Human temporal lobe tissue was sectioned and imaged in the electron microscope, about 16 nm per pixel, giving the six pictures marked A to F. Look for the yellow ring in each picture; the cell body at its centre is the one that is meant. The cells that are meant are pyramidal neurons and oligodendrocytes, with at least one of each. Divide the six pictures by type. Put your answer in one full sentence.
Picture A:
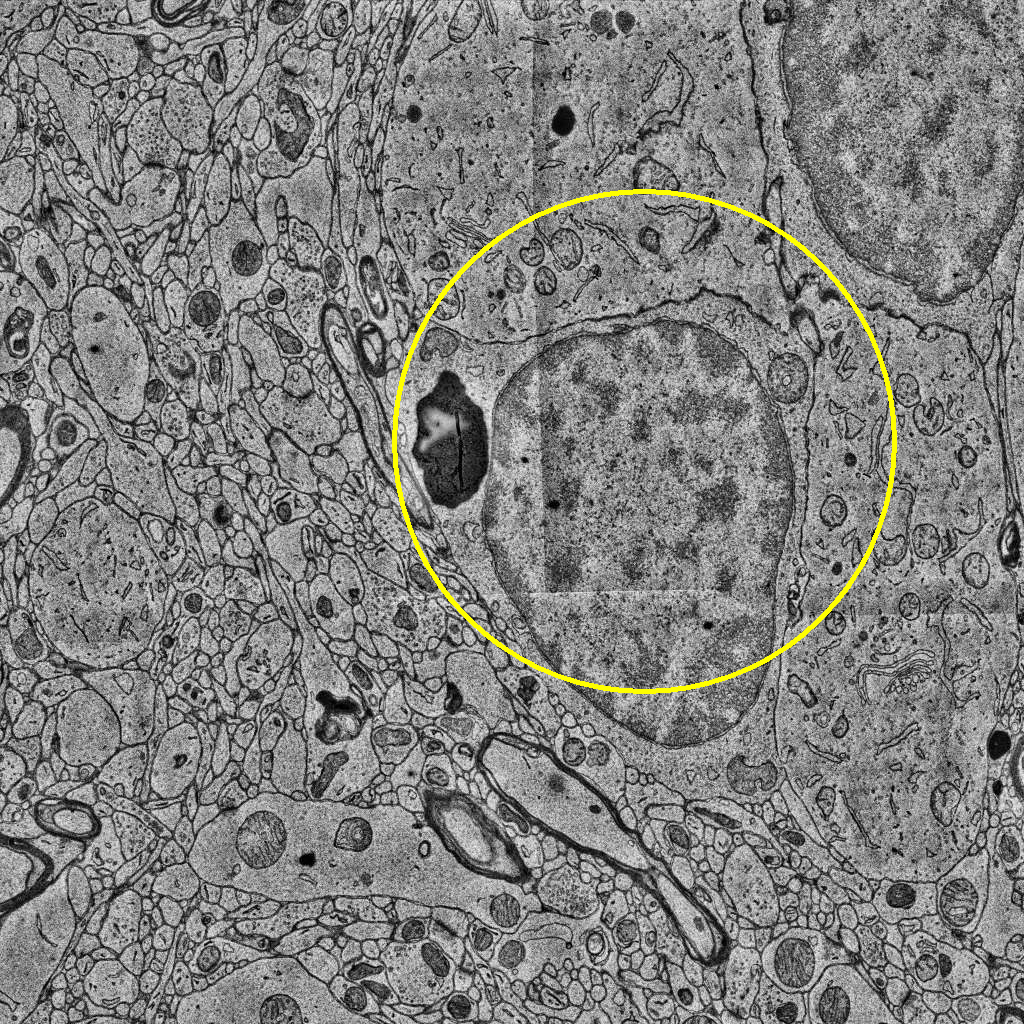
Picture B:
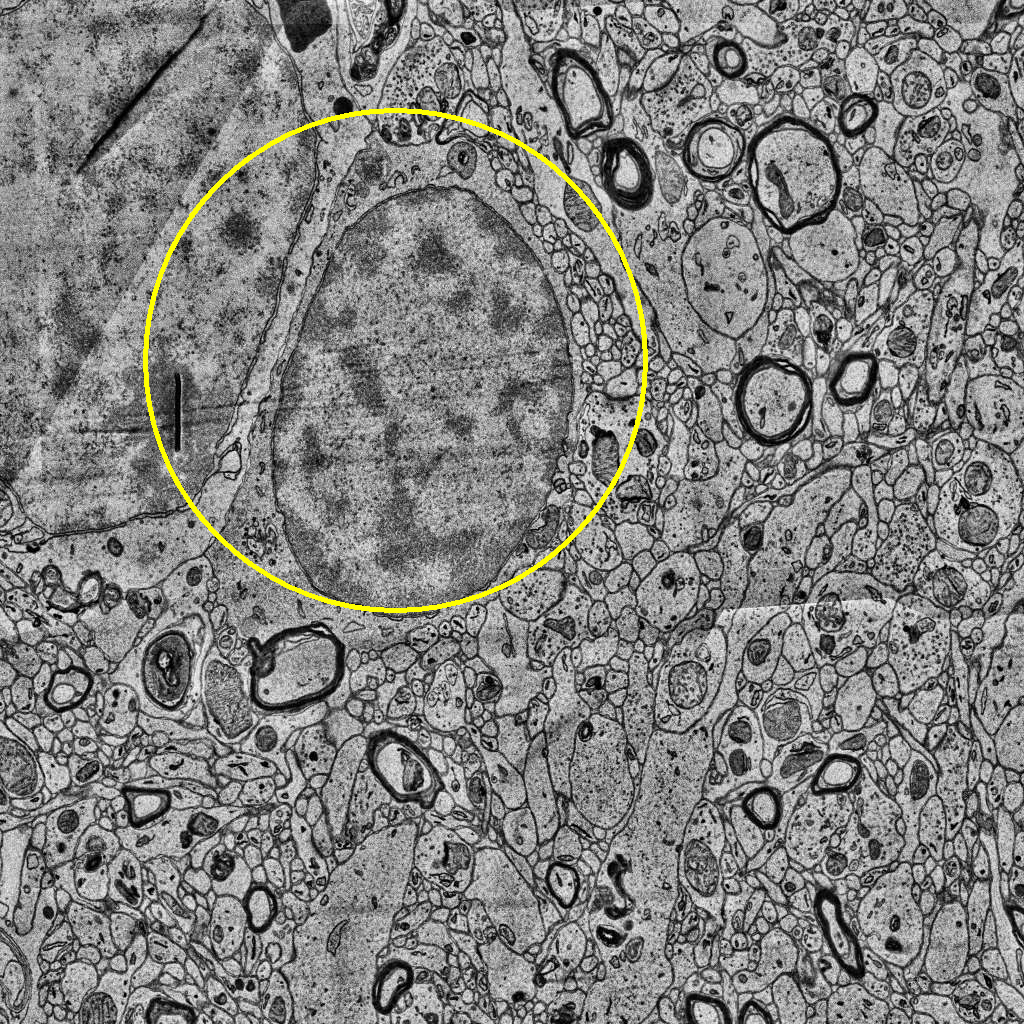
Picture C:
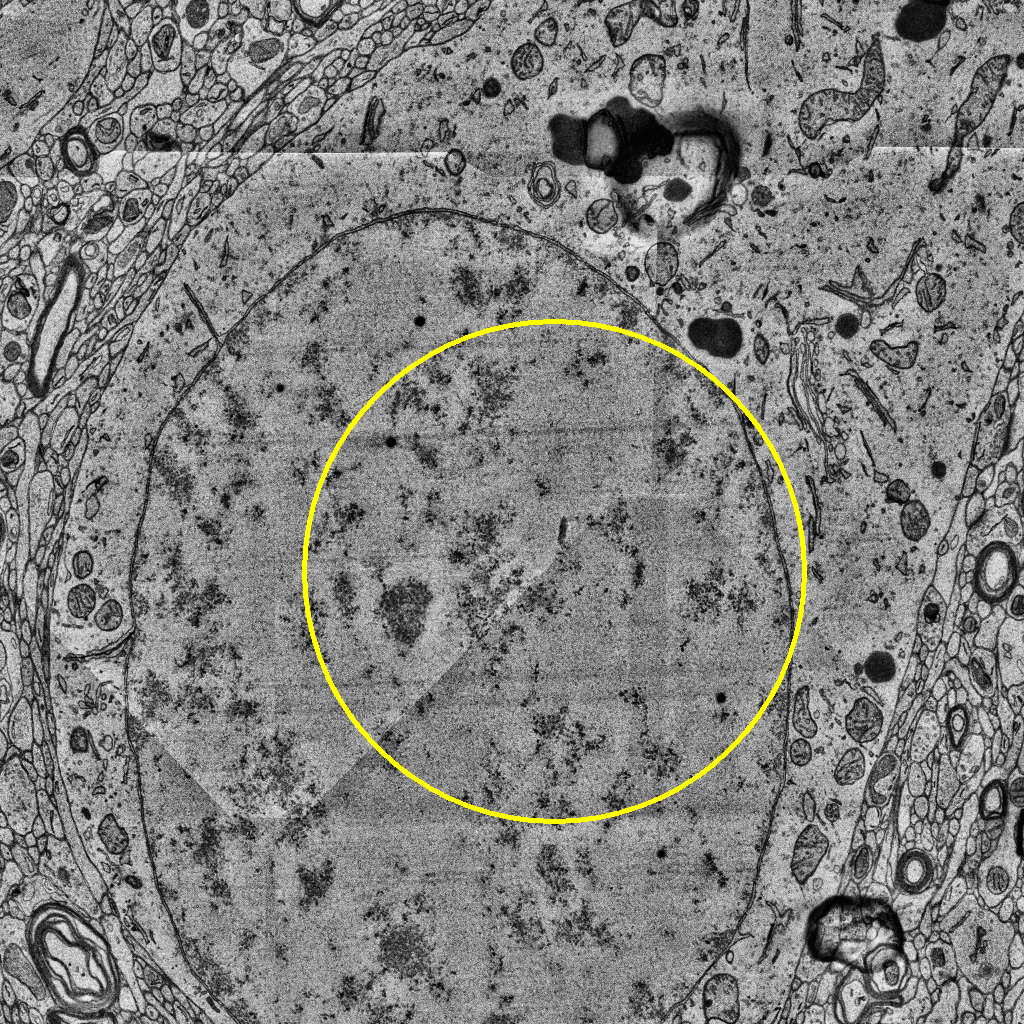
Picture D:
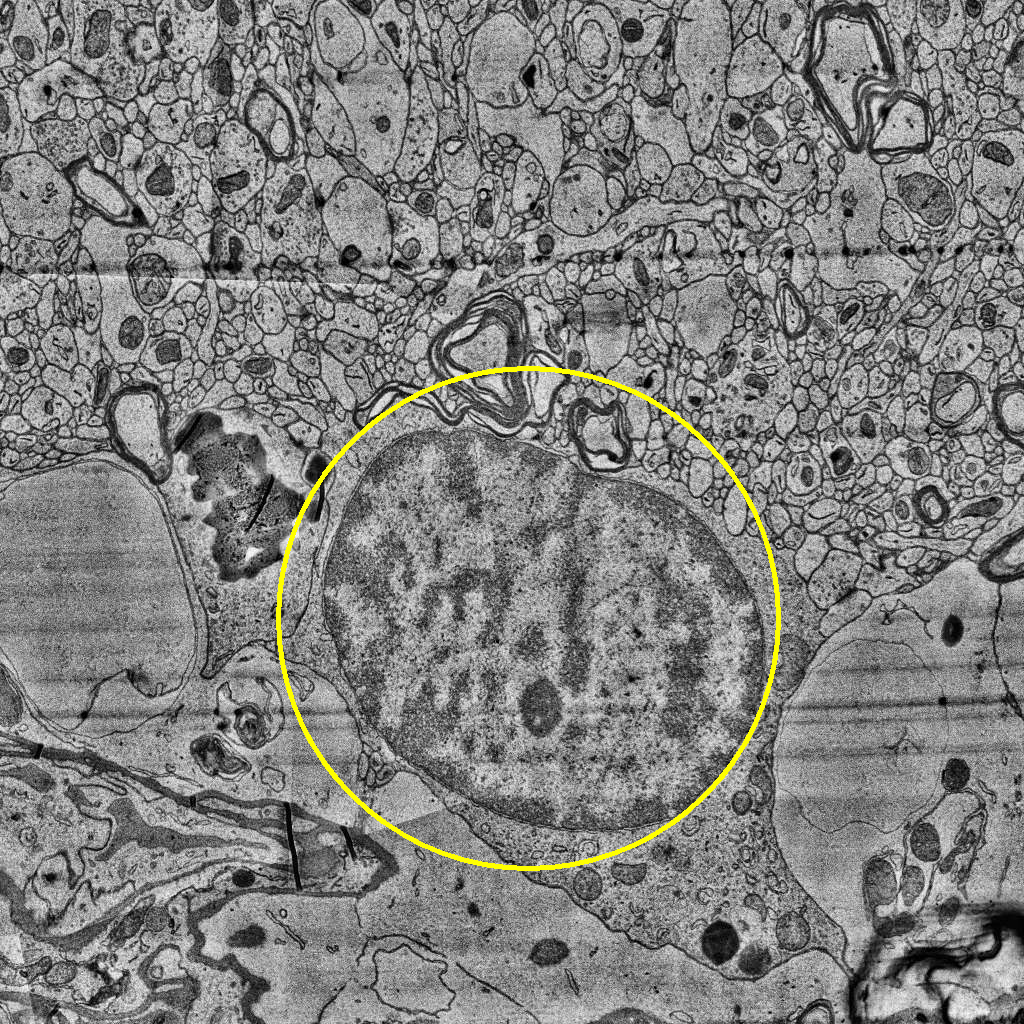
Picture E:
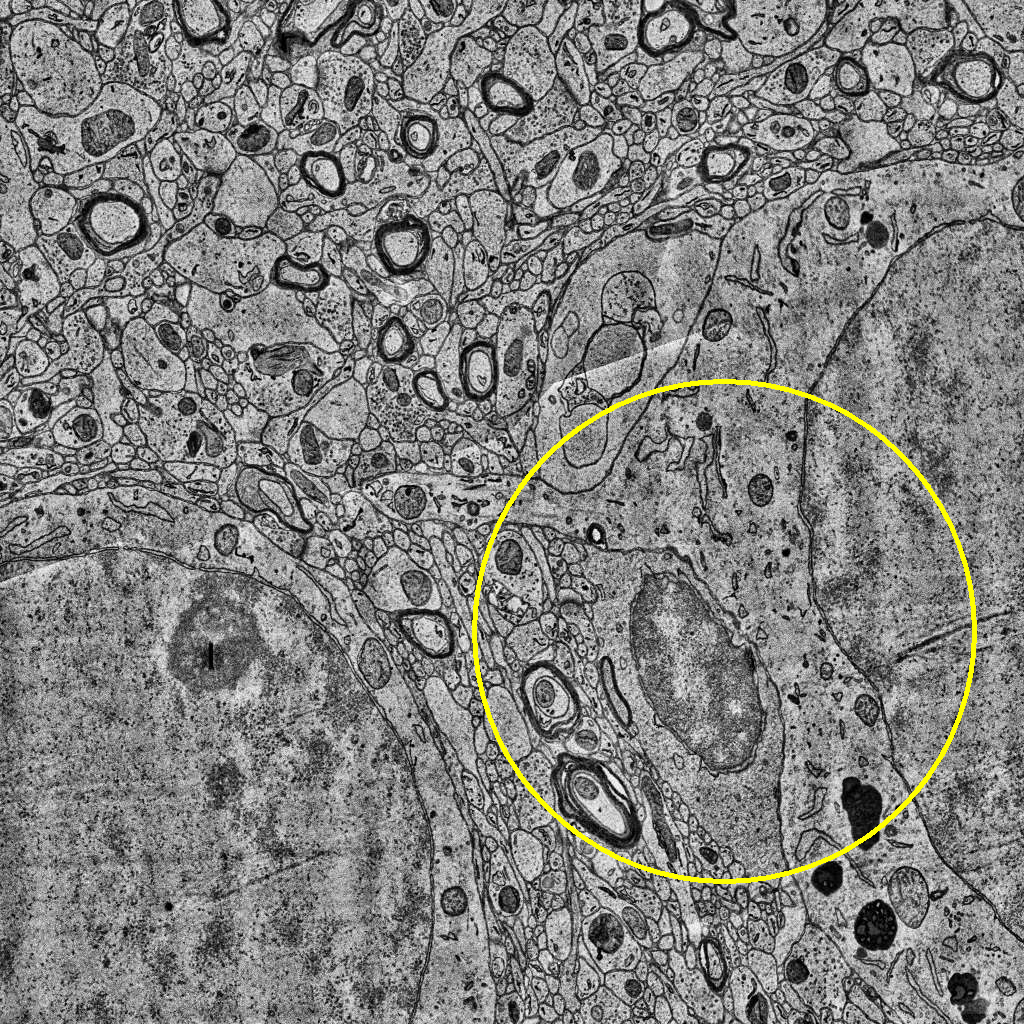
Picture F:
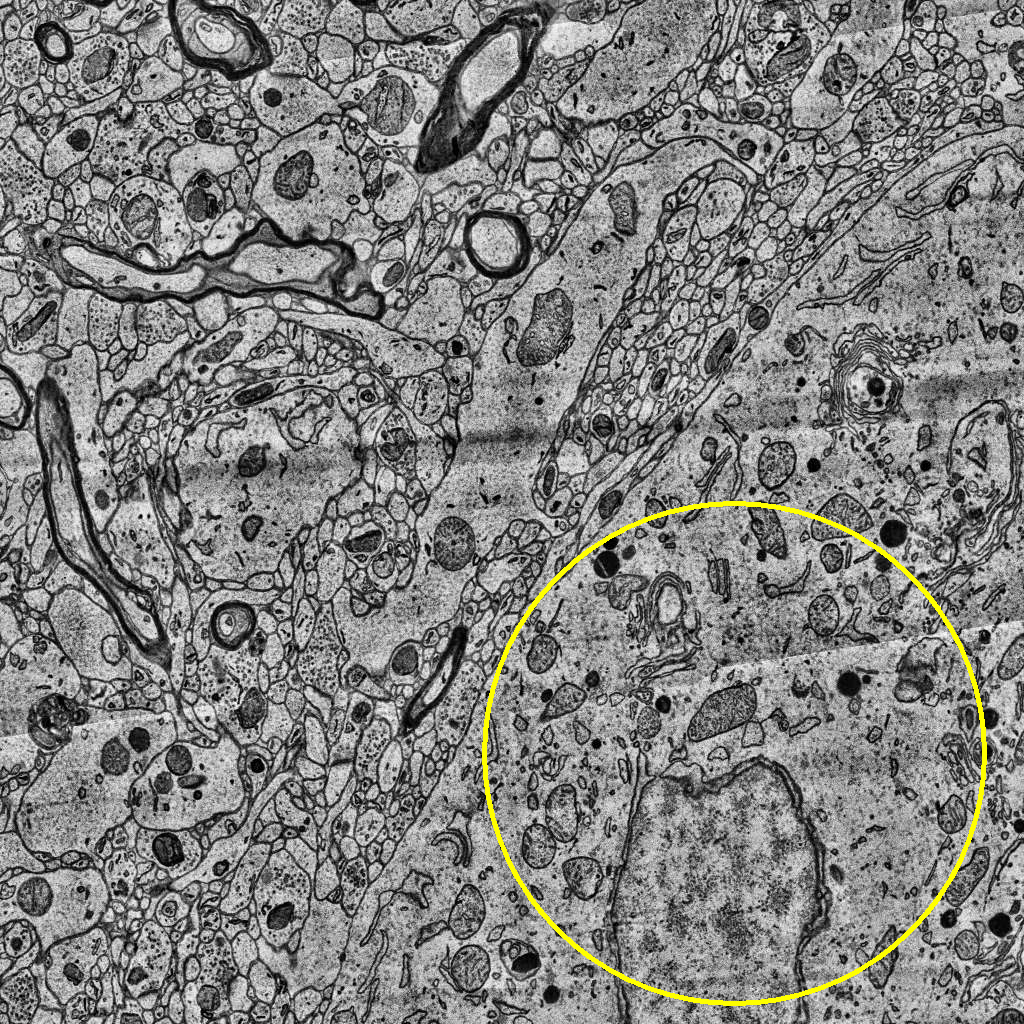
Pictures C and F show pyramidal neurons, and pictures A, B, D and E show oligodendrocytes.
